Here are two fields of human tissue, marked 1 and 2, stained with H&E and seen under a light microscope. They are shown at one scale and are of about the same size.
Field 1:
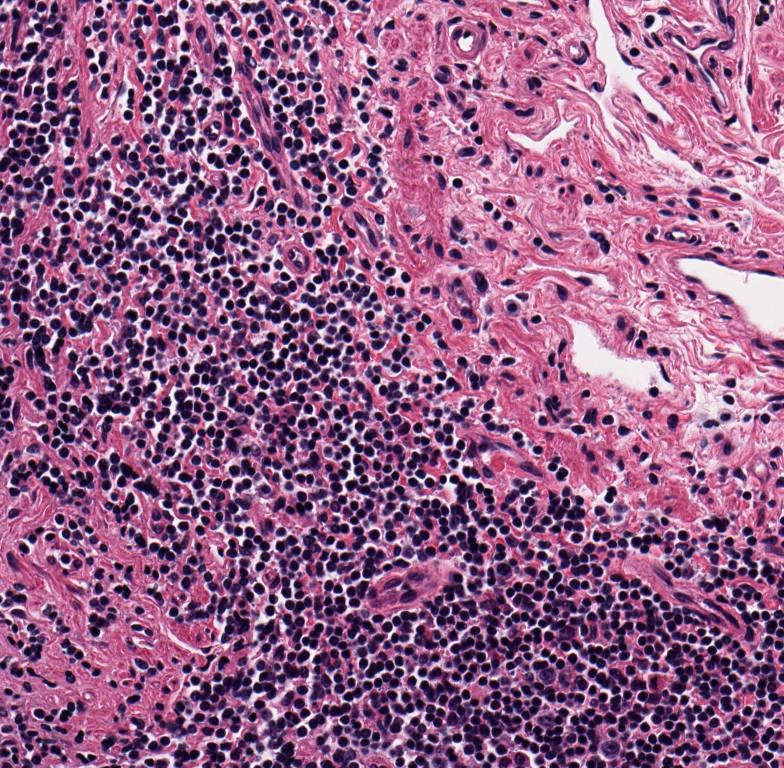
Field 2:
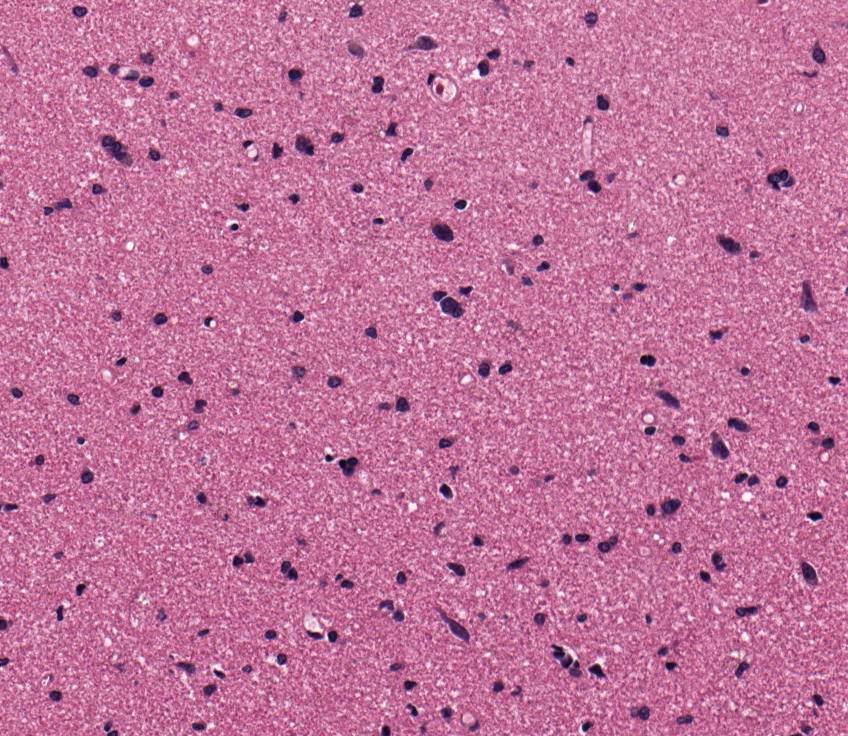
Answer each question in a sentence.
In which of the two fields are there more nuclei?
There are more nuclei in field 1.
